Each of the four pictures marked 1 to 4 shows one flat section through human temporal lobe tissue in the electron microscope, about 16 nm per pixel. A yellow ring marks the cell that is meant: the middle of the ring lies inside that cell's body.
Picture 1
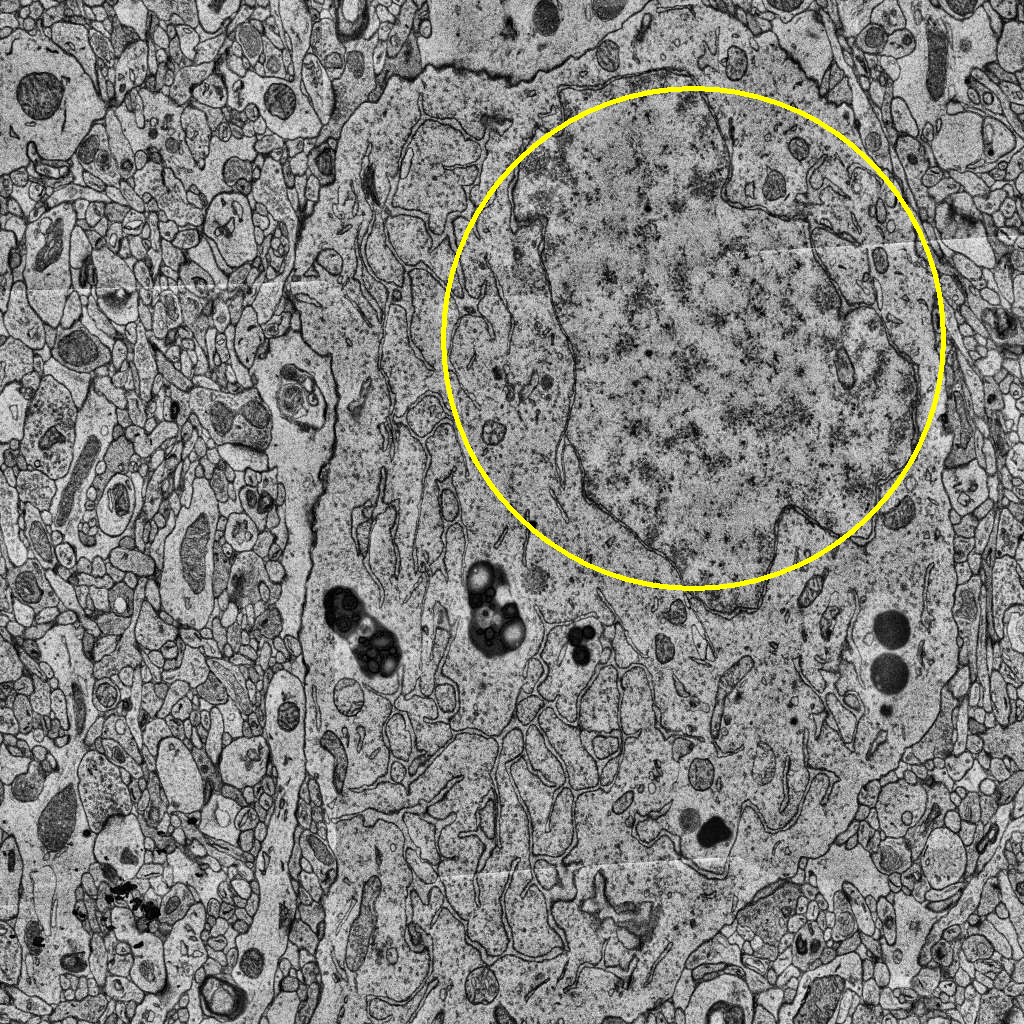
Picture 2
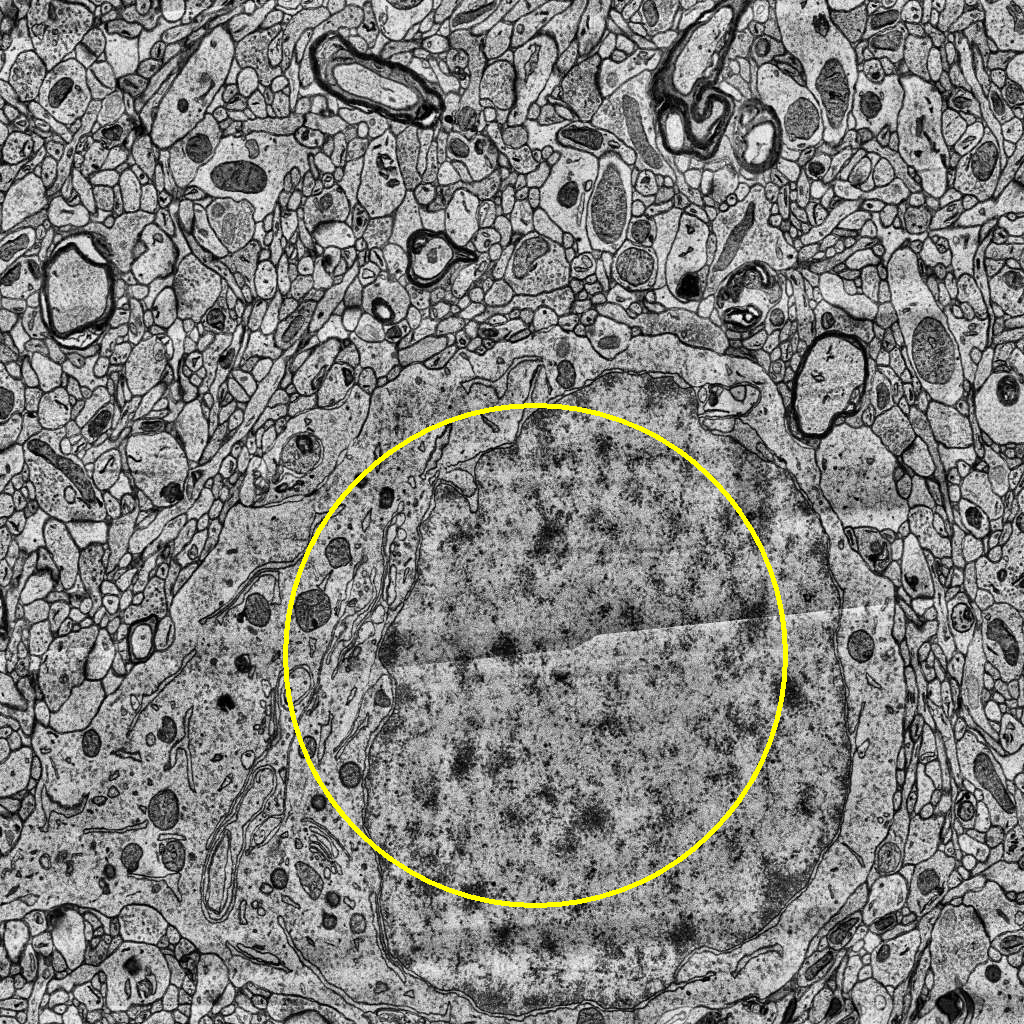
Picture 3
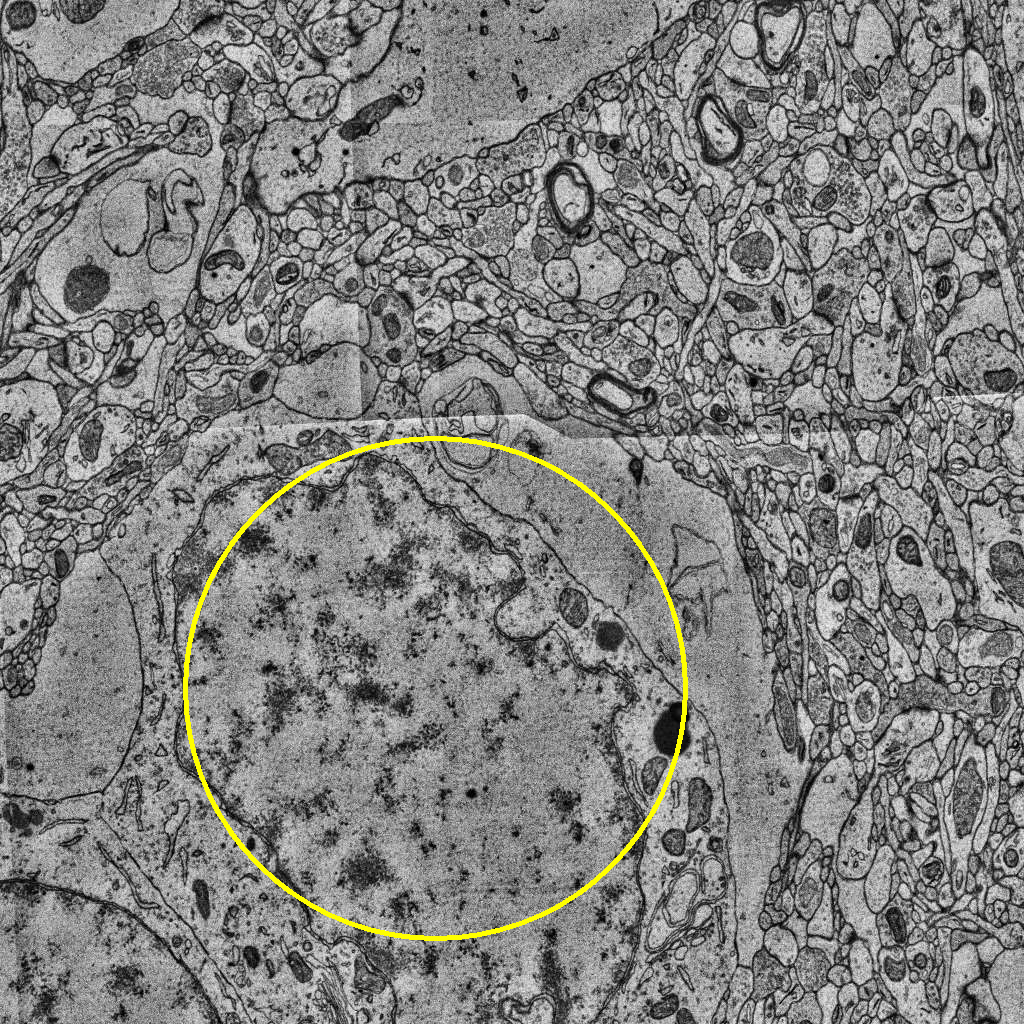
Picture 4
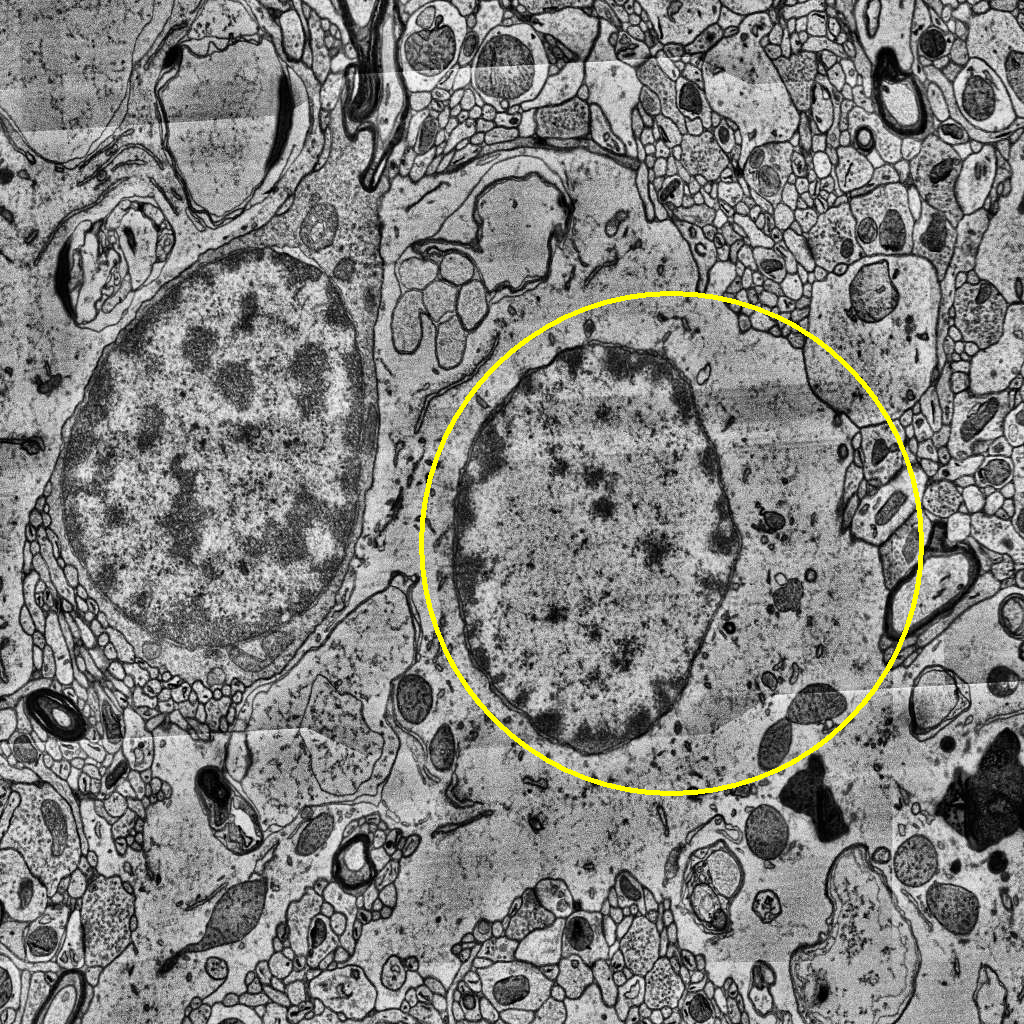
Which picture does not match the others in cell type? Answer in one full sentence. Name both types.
All pictures except 4 show interneurons; picture 4 shows an astrocyte.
